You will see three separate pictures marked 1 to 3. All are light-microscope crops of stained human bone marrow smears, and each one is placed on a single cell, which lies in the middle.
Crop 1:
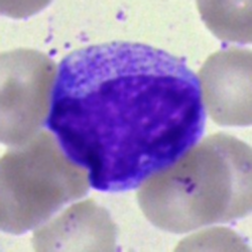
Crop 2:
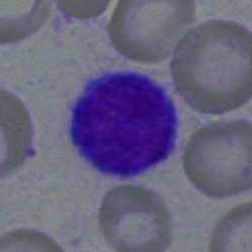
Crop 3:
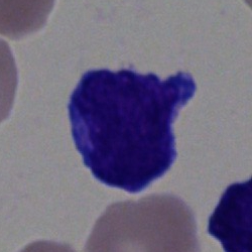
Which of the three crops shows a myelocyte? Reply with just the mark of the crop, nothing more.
1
